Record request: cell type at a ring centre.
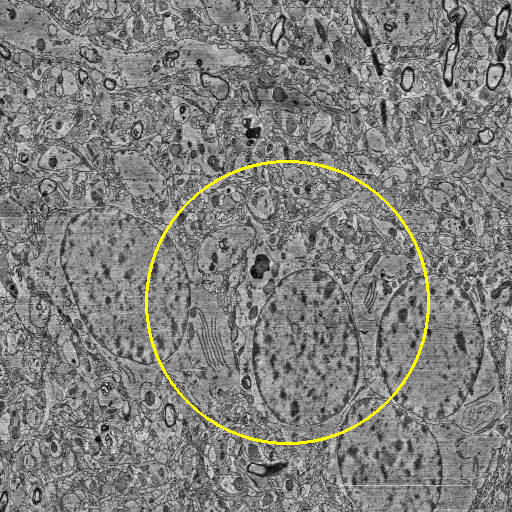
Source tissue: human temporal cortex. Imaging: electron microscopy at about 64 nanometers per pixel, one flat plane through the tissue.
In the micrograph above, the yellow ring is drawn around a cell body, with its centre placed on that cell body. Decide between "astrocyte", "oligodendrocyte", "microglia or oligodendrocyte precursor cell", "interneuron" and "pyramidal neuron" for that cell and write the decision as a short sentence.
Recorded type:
The cell centred in the yellow ring is an astrocyte.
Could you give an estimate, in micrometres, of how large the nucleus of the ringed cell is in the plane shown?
The ringed cell's nucleus is roughly 10 by 7 micrometres and clearly longer than it is wide in this plane.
